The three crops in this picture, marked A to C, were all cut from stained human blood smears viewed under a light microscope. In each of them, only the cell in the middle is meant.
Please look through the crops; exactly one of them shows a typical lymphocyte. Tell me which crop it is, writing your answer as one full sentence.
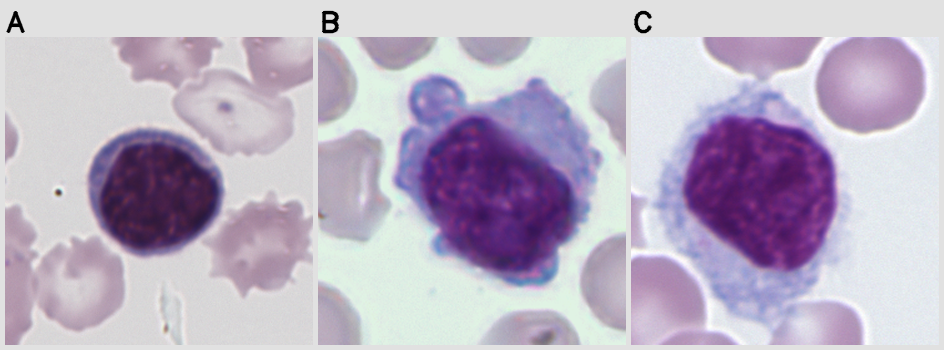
In this series, a typical lymphocyte is shown by crop A.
